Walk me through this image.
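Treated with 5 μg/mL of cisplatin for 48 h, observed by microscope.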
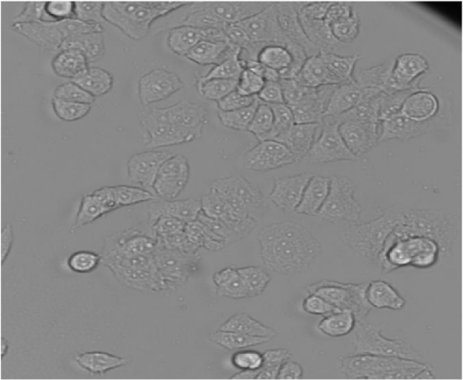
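Most cells are flattened and polygonal, with an epithelial look, and many lie close together in small loose clusters with clear spaces of dish between them. Scattered among them are a few rounded cells that stand out bright and refractile, cells that have lifted or drawn in from the surface.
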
